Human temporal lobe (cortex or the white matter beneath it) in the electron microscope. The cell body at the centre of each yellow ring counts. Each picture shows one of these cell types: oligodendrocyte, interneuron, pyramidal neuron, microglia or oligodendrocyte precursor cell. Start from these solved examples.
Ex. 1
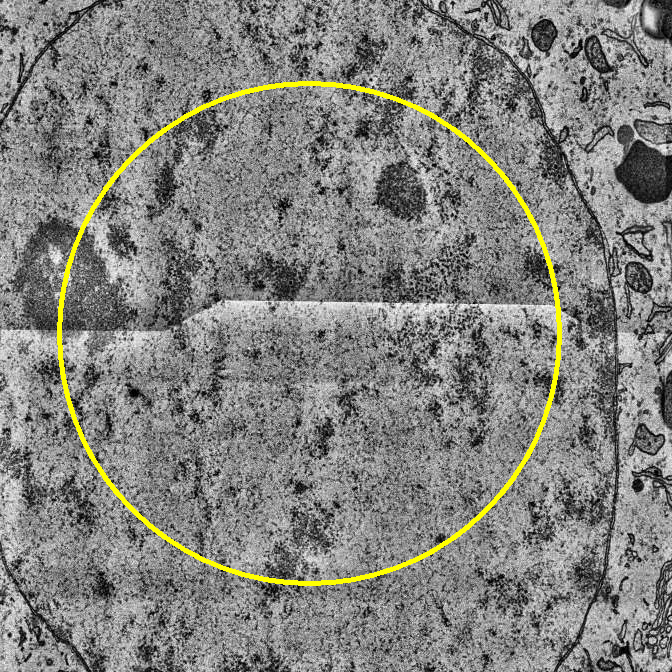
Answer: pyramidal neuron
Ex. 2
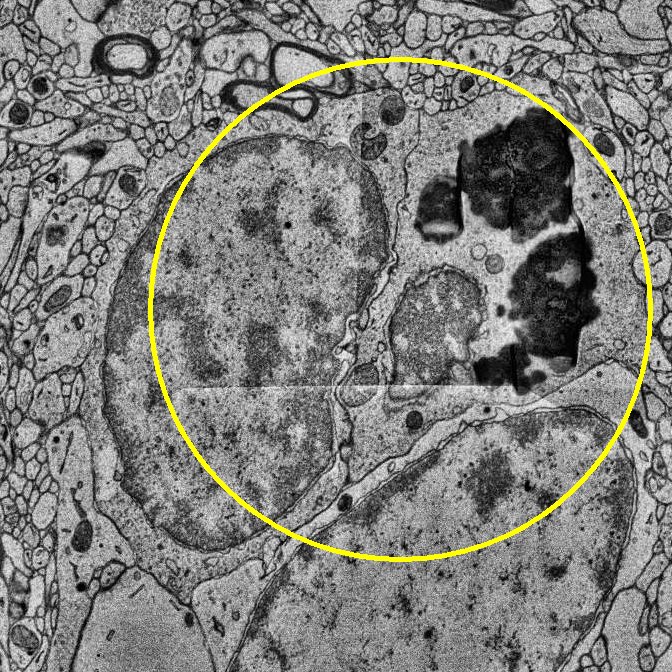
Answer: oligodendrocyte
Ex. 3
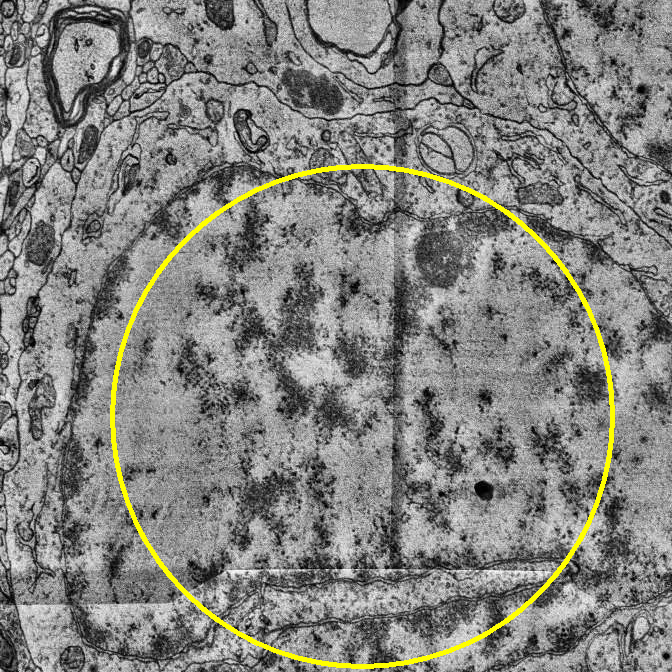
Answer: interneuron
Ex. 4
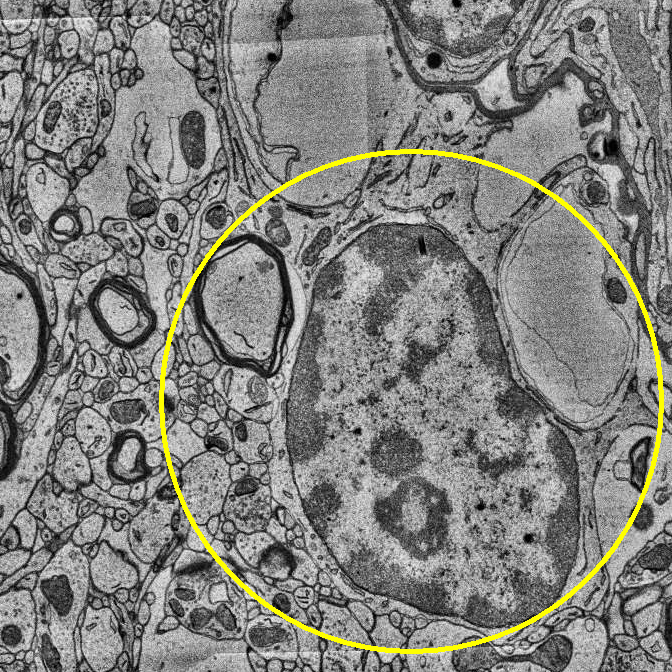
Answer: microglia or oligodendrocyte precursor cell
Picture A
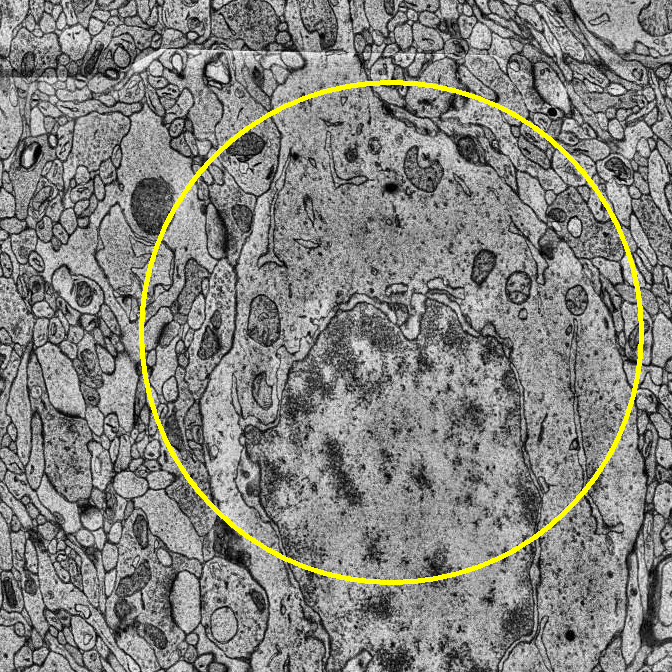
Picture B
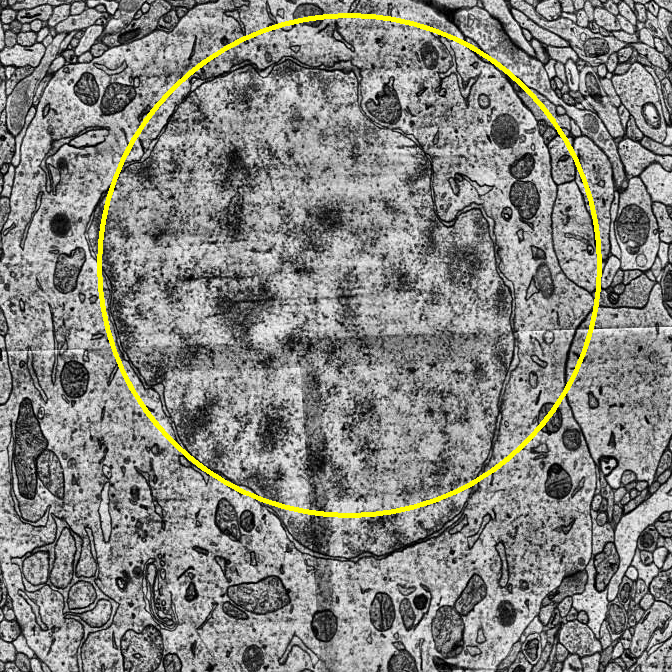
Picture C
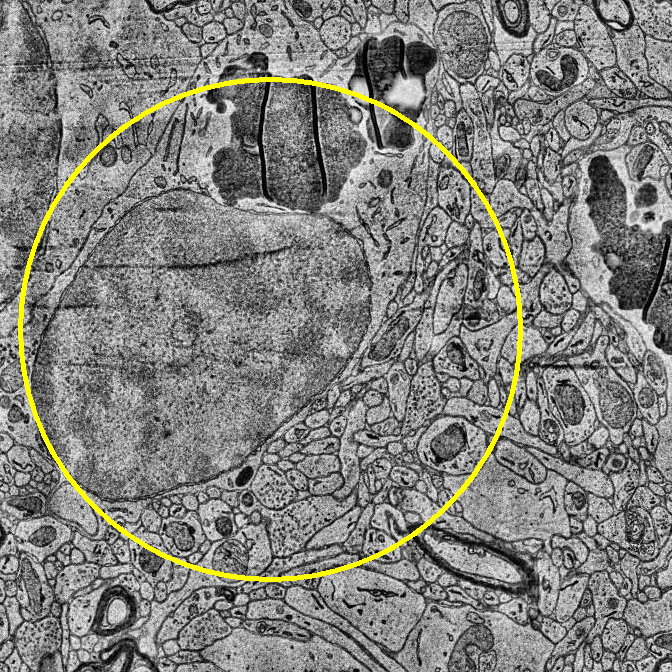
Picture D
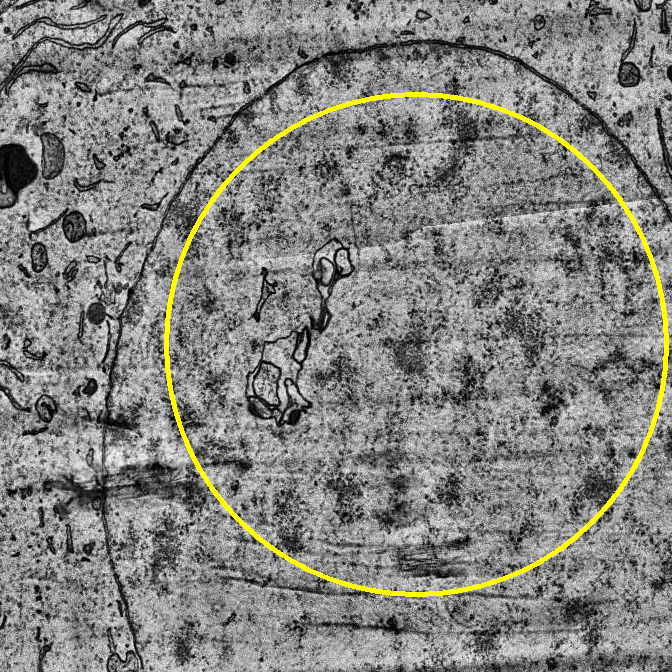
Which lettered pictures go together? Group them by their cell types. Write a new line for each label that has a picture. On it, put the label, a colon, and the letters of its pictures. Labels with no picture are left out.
interneuron: A, B
pyramidal neuron: D
microglia or oligodendrocyte precursor cell: C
